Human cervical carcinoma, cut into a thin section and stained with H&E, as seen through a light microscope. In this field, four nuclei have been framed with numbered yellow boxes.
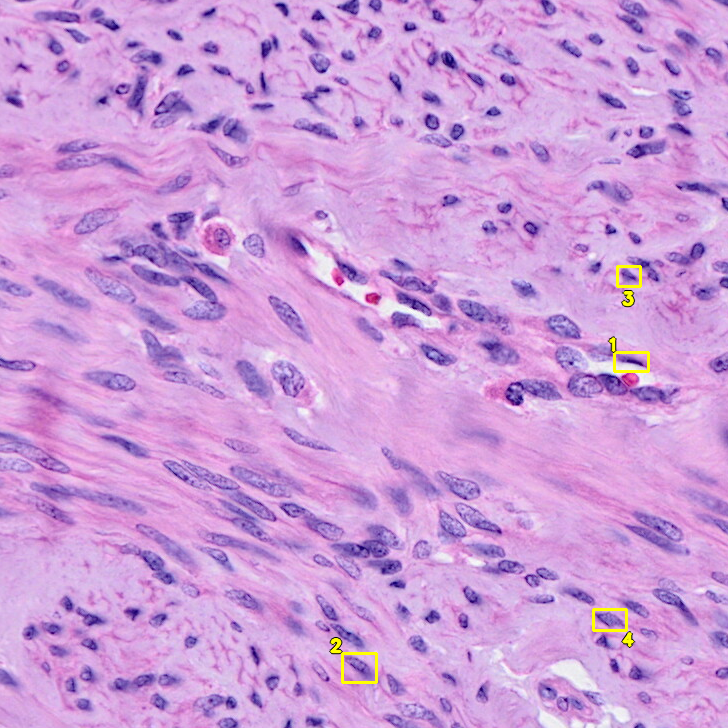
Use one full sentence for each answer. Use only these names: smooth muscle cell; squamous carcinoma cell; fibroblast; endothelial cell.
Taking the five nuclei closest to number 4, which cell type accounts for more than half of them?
Of the five nuclei nearest to number 4, most belong to smooth muscle cells.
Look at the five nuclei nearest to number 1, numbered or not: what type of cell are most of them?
Around number 1, most of the five nearest nuclei are those of endothelial cells.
